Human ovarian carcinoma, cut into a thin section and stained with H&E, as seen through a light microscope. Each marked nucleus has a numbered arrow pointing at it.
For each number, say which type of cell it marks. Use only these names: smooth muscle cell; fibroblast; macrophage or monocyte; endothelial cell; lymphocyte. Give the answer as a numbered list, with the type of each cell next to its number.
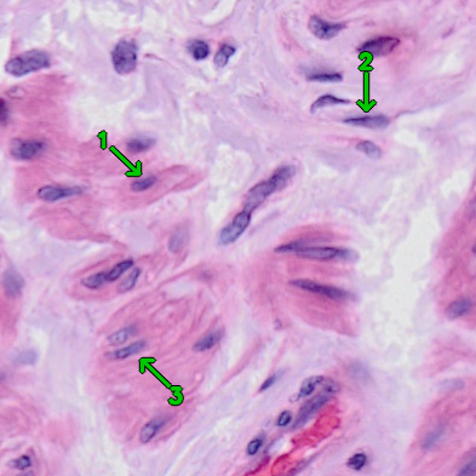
1. smooth muscle cell
2. fibroblast
3. smooth muscle cell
